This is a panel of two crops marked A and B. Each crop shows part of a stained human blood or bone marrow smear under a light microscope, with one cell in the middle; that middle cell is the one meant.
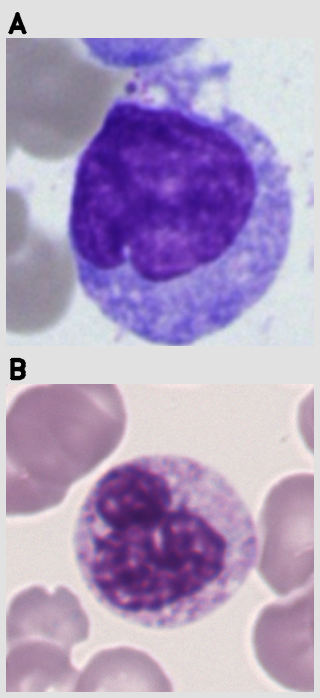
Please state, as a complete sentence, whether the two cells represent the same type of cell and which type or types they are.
No, crop A gives us a monocyte and crop B gives us a segmented neutrophil.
